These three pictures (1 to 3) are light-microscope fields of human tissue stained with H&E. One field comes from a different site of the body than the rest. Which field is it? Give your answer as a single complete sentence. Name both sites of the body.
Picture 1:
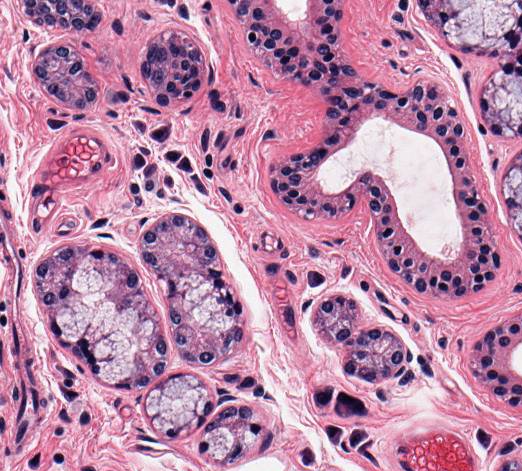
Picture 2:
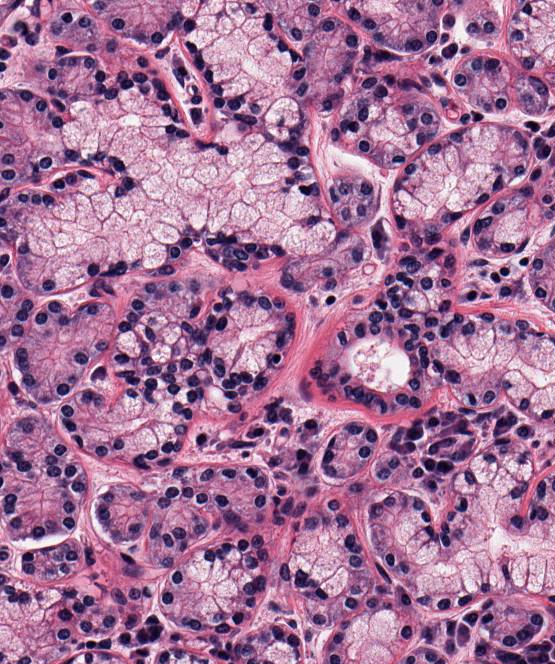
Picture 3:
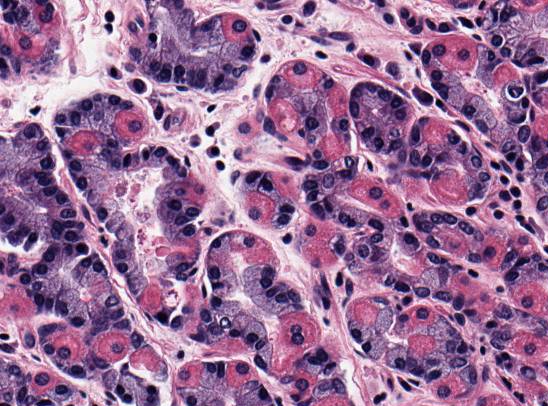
All pictures except 3 come from a minor salivary gland; picture 3 comes from the stomach.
